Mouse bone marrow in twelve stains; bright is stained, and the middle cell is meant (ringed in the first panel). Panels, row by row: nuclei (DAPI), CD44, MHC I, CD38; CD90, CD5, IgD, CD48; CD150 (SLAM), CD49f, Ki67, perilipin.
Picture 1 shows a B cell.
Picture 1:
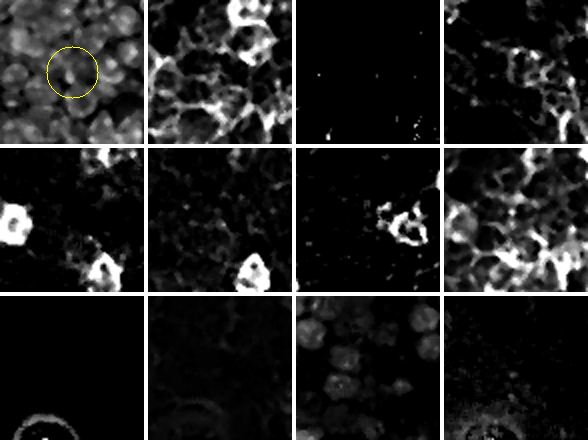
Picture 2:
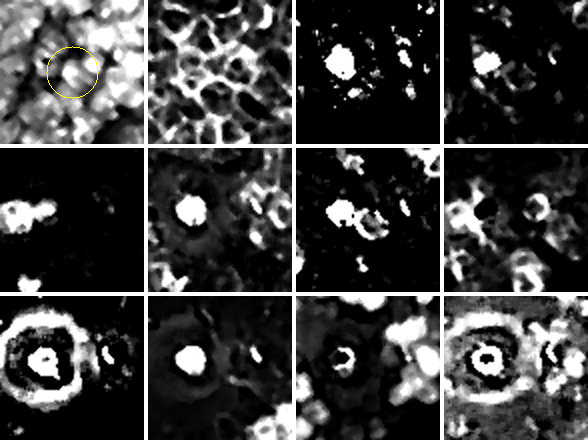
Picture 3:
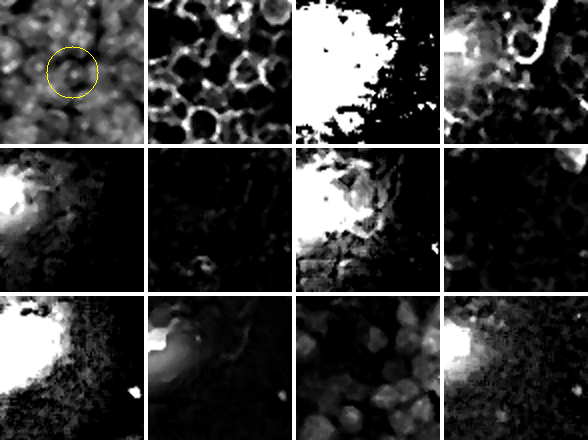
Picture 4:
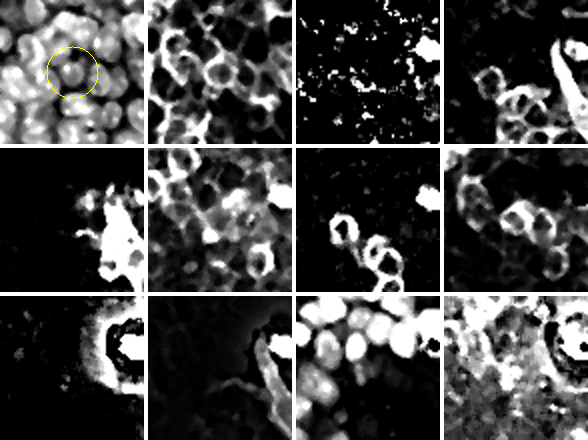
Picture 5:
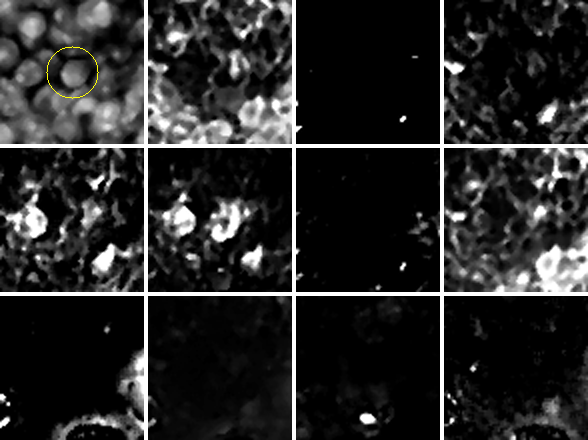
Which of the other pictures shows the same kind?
Picture 2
